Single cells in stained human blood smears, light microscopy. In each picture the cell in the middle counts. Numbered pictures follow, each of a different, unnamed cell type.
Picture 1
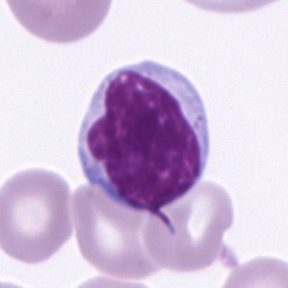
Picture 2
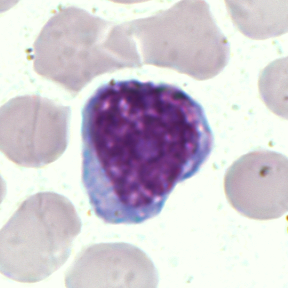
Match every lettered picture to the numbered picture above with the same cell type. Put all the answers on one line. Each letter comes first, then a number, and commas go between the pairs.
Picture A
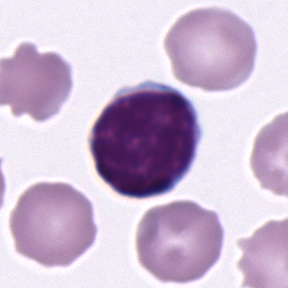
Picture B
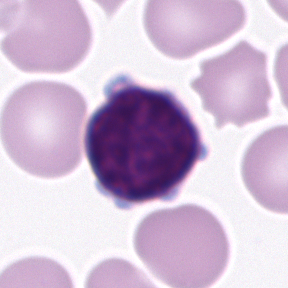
A 1, B 1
